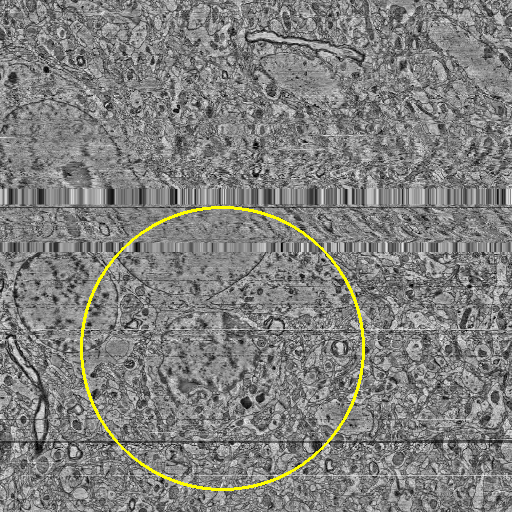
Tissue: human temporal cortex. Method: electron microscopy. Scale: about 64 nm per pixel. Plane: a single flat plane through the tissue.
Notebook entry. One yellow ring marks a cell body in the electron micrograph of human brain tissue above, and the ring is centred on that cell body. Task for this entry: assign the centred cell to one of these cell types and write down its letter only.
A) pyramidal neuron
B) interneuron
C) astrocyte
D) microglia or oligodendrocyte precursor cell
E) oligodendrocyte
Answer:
B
